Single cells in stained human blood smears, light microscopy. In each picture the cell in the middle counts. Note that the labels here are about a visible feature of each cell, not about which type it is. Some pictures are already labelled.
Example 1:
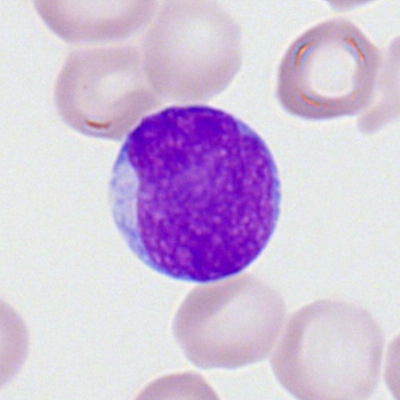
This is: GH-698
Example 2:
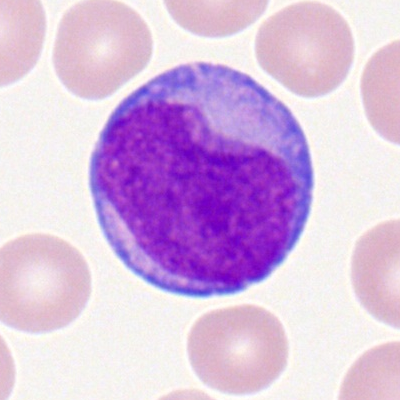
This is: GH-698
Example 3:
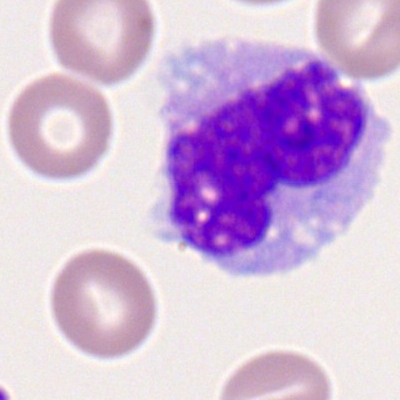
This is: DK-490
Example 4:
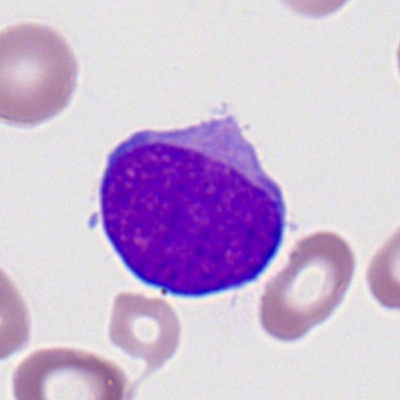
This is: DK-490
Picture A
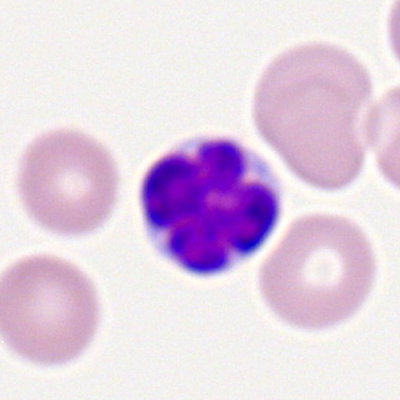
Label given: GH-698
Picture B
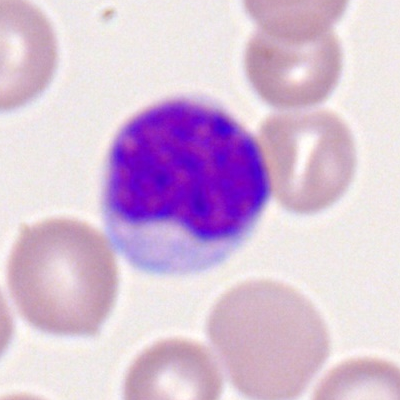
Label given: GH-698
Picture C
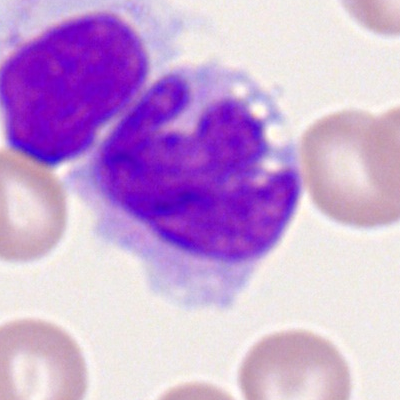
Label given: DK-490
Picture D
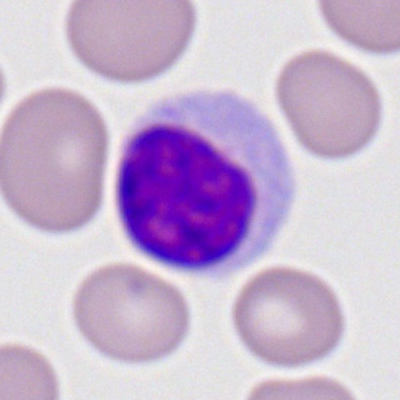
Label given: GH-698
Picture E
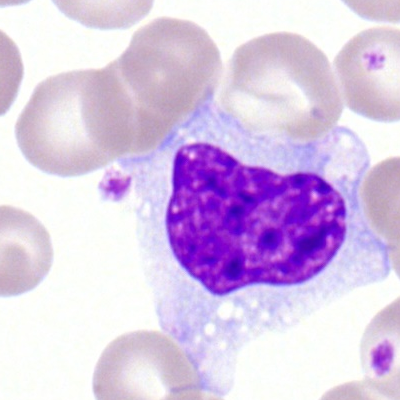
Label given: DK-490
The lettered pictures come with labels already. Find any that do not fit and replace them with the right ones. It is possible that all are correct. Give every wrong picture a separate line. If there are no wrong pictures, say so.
All correct.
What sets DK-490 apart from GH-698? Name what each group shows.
DK-490, ragged outline or projections; GH-698, smooth outline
